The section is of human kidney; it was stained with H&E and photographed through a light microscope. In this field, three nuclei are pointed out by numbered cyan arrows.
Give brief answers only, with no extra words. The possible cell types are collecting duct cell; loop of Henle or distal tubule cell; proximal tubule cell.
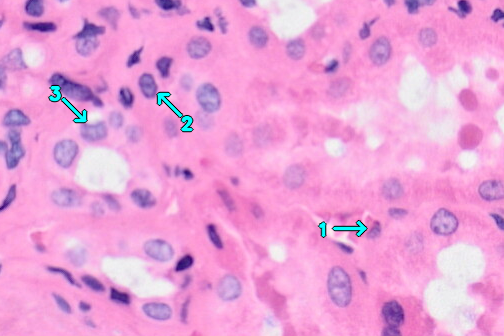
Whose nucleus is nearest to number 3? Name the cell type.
collecting duct cell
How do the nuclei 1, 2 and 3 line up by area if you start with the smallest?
1, 2, 3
